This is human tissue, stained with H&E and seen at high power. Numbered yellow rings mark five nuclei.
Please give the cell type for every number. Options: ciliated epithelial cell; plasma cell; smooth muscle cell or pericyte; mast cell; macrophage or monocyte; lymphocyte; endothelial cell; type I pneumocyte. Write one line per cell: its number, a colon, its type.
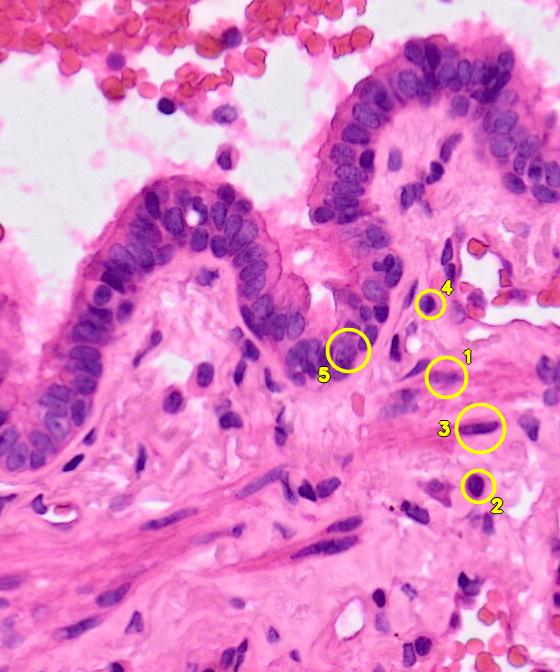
1: smooth muscle cell or pericyte
2: mast cell
3: smooth muscle cell or pericyte
4: lymphocyte
5: ciliated epithelial cell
